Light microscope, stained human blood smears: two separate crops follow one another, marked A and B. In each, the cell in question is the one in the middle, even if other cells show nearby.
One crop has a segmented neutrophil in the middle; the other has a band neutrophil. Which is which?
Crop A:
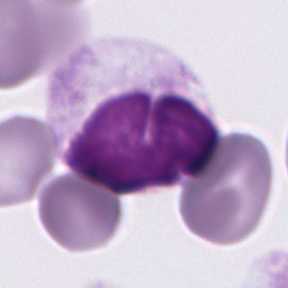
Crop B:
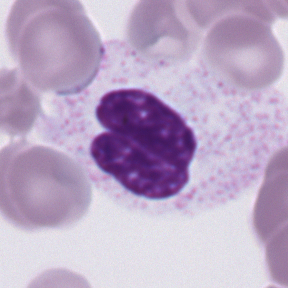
A: band neutrophil
B: segmented neutrophil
